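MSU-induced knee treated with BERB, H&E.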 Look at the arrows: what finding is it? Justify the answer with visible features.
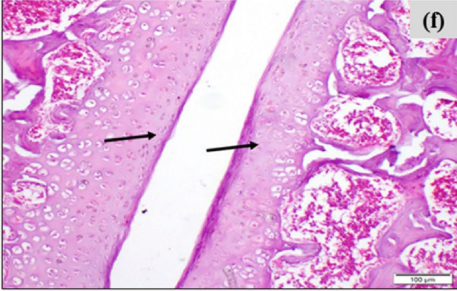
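Smooth articular surface. Two cartilage layers with even, continuous surfaces border a clear joint space. Chondrocytes in lacunae are evenly spread through the cartilage.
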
